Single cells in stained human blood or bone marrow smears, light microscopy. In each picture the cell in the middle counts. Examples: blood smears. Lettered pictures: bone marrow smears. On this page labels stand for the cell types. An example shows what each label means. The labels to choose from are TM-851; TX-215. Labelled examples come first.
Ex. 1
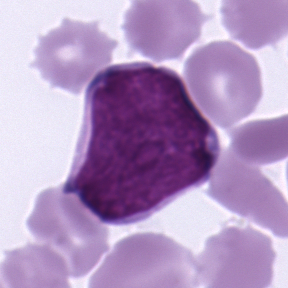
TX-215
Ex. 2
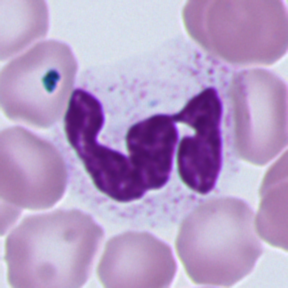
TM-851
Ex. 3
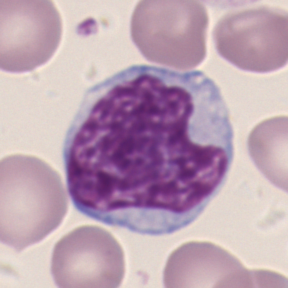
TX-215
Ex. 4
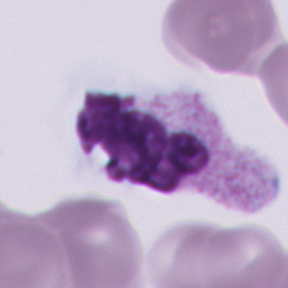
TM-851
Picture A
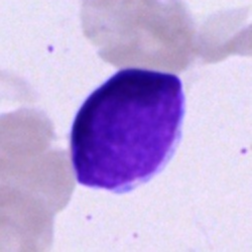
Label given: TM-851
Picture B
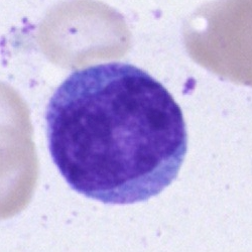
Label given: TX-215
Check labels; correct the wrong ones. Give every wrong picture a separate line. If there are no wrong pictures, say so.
A: not TM-851 but TX-215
